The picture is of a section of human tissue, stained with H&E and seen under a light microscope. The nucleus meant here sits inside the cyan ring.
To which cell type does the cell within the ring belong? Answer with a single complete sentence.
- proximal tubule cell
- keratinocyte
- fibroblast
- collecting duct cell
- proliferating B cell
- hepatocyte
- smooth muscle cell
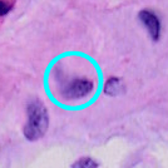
In this tissue section, the cell within the ring is to be classed as a fibroblast.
